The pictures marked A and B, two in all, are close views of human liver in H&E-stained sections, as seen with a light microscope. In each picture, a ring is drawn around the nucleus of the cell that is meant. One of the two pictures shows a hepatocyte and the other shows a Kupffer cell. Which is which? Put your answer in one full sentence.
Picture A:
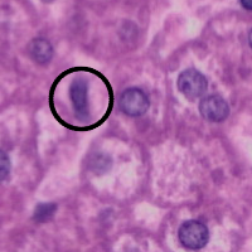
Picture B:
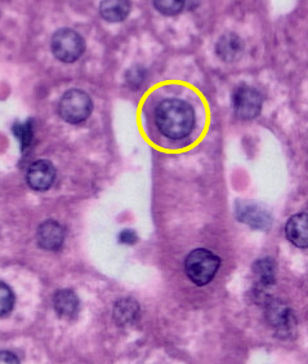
It is picture A that shows a Kupffer cell, and picture B that shows a hepatocyte.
